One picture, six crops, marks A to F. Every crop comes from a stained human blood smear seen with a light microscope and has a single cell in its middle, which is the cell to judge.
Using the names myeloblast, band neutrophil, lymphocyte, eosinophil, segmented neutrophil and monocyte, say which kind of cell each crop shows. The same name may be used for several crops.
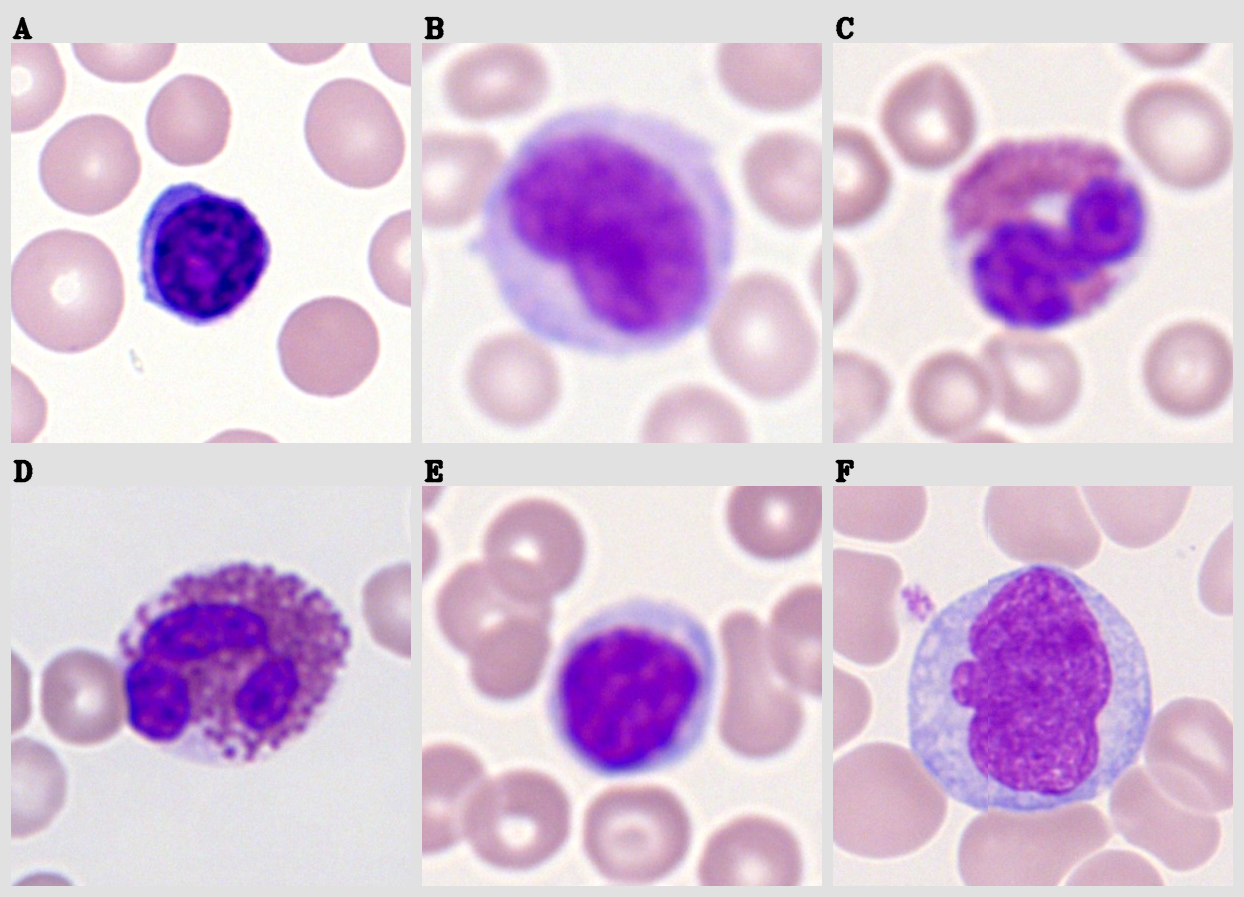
A: lymphocyte
B: monocyte
C: eosinophil
D: eosinophil
E: lymphocyte
F: monocyte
